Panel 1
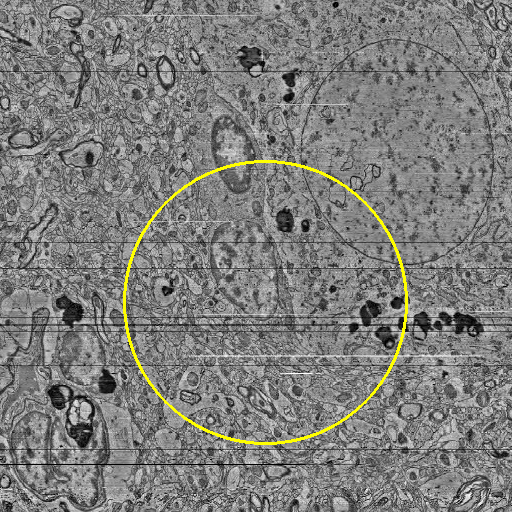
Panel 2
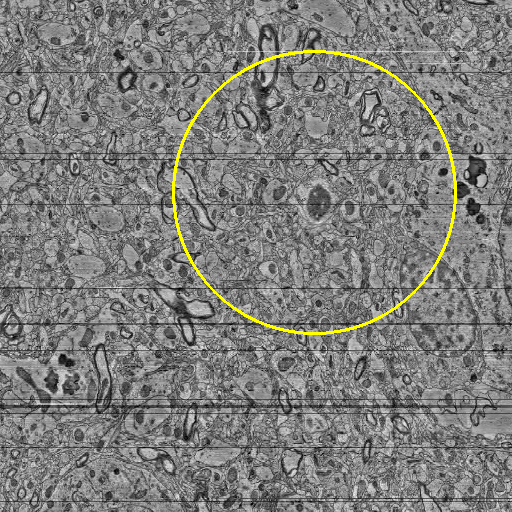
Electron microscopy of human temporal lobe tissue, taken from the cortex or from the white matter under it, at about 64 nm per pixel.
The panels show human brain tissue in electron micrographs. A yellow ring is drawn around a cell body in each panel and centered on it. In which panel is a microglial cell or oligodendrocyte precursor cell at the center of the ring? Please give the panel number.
2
